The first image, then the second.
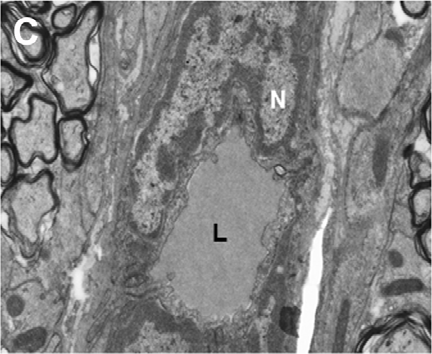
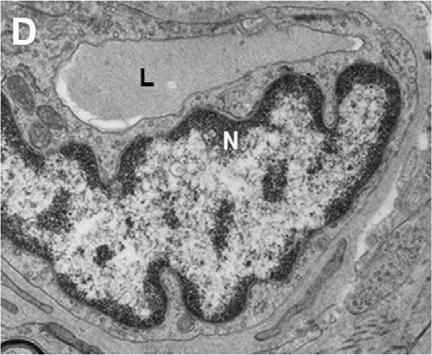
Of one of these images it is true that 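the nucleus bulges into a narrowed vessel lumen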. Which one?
the second image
